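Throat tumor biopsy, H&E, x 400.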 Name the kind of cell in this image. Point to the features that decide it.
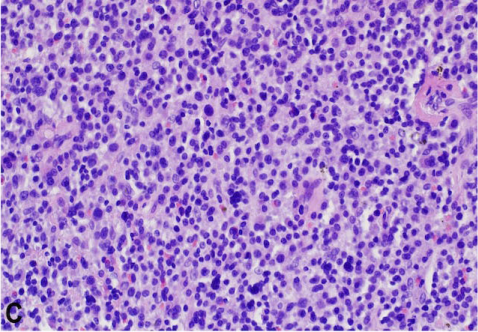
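Solid sheet of round cells with little stroma between them. Round dark nuclei, often eccentric, with pale purple cytoplasm. That points to this answer: plasma cells.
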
